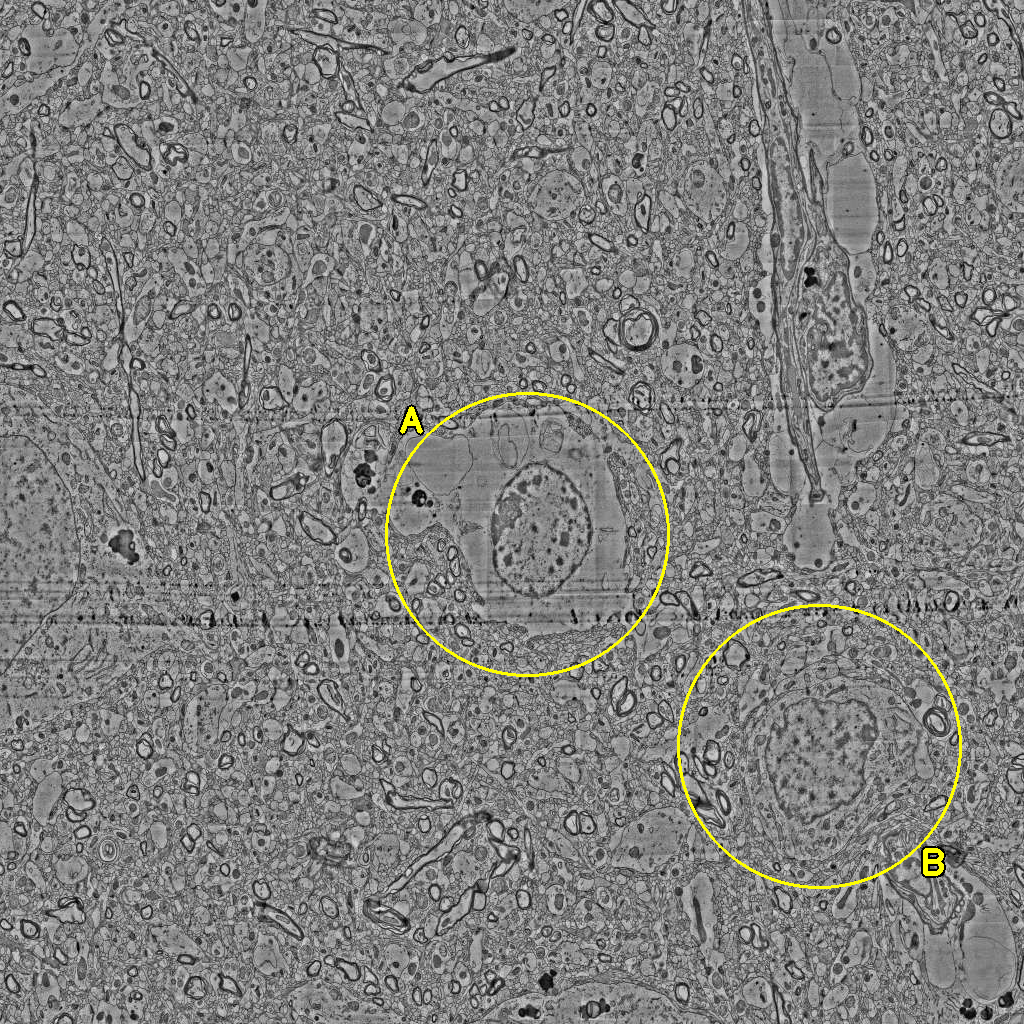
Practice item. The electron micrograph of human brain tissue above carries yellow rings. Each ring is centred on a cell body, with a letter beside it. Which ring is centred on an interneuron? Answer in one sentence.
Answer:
Ring B is centred on it.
